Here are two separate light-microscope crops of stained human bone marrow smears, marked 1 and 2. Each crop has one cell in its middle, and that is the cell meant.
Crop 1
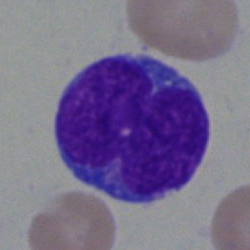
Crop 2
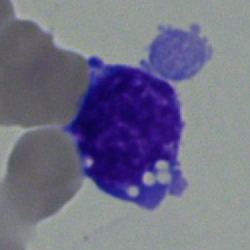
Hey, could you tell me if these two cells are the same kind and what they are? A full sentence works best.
Yes, the central cells, in both crops, are blasts.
